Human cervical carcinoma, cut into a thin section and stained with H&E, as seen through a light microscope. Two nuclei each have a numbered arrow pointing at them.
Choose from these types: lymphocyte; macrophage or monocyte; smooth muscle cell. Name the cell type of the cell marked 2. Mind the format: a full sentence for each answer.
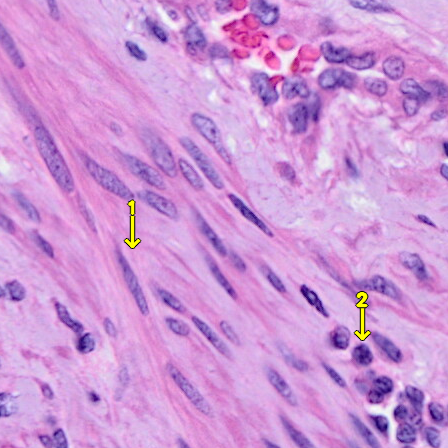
Here the cell numbered 2 is a lymphocyte.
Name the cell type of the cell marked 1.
The cell identified by the number 1 is a smooth muscle cell.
